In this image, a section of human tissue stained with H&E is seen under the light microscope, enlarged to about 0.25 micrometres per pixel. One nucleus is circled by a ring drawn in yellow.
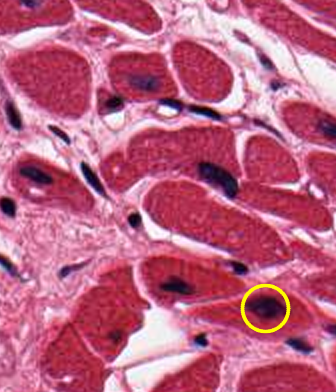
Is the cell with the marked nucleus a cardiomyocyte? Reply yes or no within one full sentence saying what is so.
Yes, the nucleus indicated by the marking belongs to a cardiomyocyte.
